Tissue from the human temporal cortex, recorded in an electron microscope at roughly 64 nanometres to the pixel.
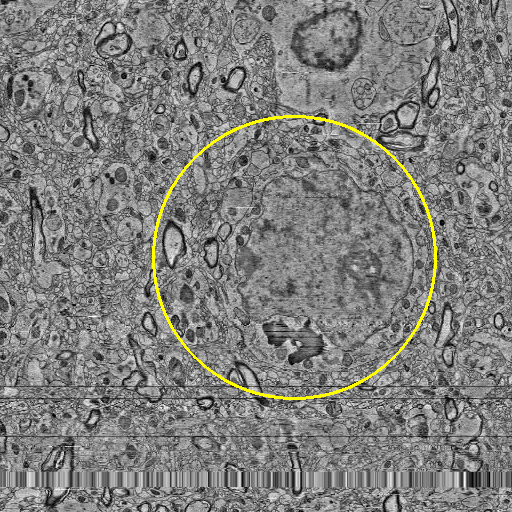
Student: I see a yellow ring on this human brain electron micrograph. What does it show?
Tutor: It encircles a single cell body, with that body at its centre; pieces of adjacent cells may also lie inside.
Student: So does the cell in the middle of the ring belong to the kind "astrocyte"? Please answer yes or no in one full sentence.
No, that cell at the centre of the ring is one of another kind.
